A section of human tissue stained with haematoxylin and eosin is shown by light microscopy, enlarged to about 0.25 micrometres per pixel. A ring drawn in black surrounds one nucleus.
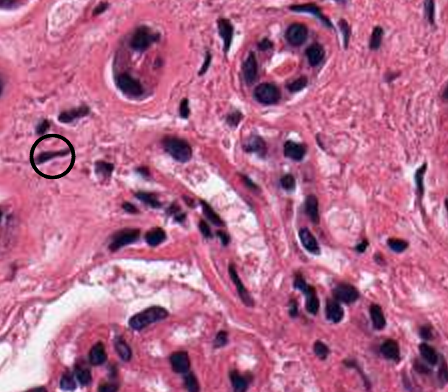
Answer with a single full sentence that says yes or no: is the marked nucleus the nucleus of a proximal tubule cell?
No, not a proximal tubule cell but a supporting cell is the owner of the marked nucleus.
